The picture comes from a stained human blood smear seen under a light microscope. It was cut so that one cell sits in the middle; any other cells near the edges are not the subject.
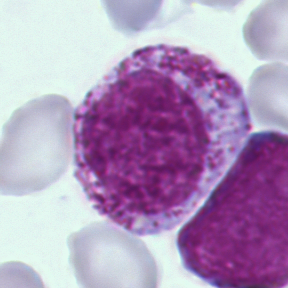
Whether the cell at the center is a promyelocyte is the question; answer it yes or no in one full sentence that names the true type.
No, at the centre of this crop is found a myelocyte instead of a promyelocyte.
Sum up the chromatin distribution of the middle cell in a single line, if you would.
What stands out is fine chromatin lacking any coarse clumps.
